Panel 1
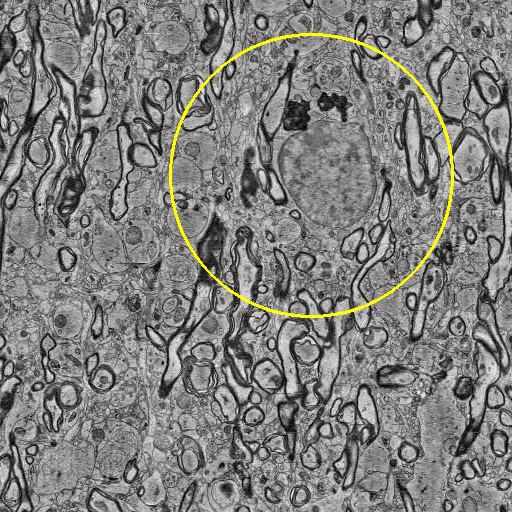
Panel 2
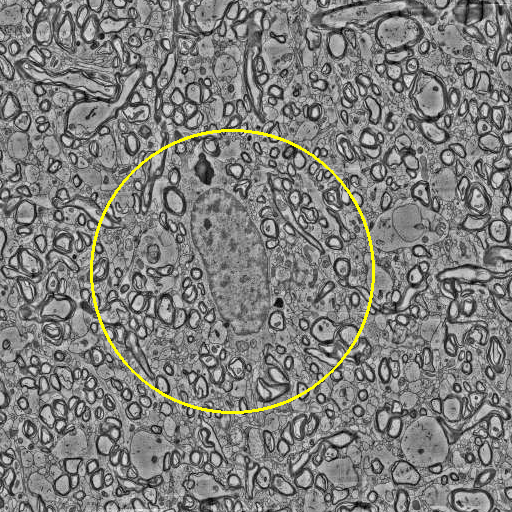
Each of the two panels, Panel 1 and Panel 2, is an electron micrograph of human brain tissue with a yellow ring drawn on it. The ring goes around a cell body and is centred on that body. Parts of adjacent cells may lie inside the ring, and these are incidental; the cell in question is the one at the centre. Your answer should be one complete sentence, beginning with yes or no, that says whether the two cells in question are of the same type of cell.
Yes, the two cells are of the same type.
